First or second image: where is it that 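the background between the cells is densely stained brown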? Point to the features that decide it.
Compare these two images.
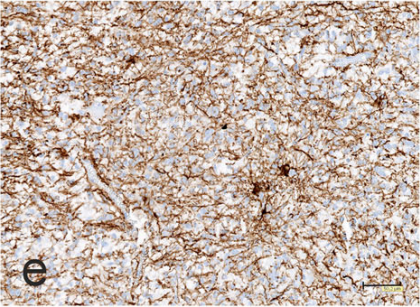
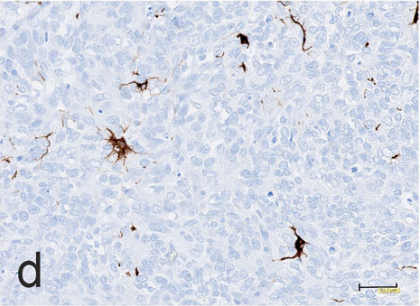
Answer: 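First image: a dense brown fibrillary meshwork fills the whole field. Second image: only a few isolated brown star-shaped cells on a pale blue background.
Conclusion: the first image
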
